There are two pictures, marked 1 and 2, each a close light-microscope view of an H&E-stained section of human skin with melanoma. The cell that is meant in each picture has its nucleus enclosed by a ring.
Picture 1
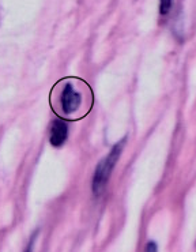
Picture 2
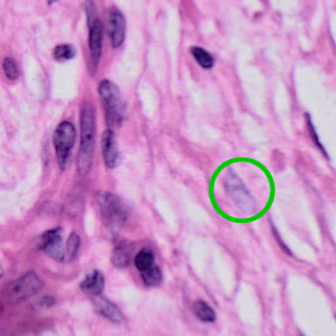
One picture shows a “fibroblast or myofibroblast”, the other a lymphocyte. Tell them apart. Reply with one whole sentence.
In picture 1 the cell is a lymphocyte; in picture 2, a “fibroblast or myofibroblast”.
